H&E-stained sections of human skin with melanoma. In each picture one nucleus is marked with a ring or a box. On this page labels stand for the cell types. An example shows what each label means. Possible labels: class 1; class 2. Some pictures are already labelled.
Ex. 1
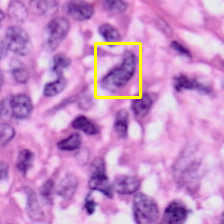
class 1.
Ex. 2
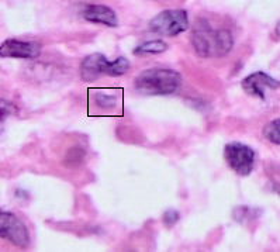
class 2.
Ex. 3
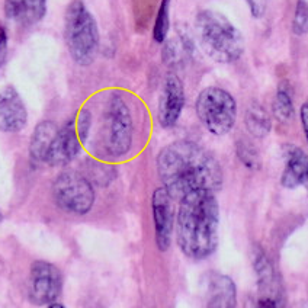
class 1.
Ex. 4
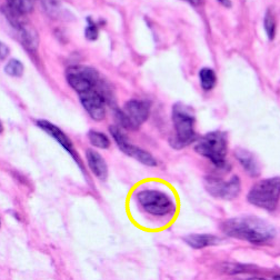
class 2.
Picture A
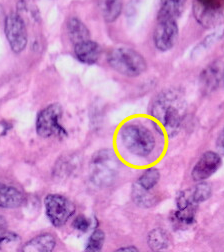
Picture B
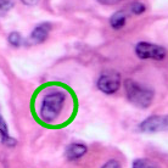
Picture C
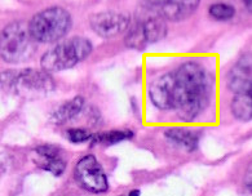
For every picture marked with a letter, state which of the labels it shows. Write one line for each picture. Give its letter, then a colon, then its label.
A: class 1.
B: class 2.
C: class 1.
